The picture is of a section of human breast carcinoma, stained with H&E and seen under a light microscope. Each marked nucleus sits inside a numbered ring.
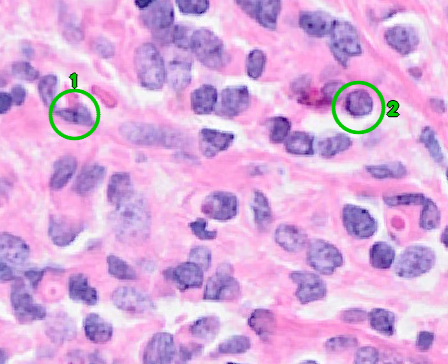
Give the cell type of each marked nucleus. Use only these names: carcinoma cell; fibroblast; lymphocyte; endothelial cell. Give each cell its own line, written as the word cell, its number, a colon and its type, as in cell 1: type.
cell 1: endothelial cell
cell 2: carcinoma cell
